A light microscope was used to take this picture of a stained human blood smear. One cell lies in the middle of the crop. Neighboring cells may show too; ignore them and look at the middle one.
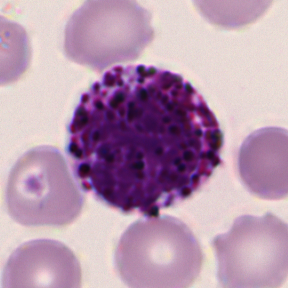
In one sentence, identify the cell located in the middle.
The central cell in this smear crop is a basophil.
